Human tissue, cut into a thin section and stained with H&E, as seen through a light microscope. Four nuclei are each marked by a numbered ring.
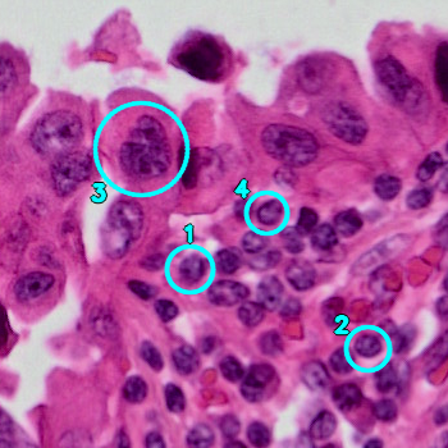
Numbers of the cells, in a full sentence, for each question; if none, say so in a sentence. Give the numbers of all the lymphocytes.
The cells marked with the numbers 1, 2 and 4 are lymphocytes.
